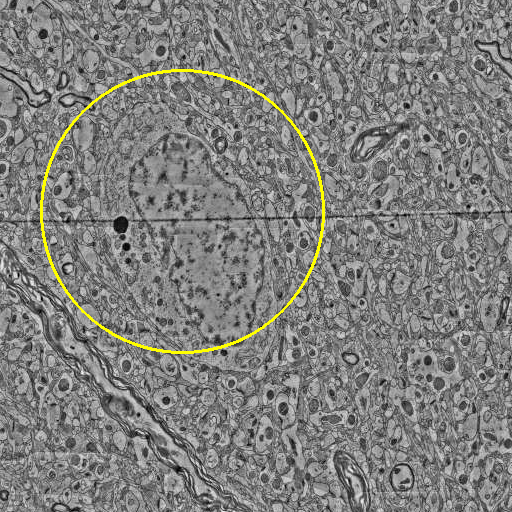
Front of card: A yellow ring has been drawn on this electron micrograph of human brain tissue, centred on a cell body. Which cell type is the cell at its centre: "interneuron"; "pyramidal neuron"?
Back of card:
interneuron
